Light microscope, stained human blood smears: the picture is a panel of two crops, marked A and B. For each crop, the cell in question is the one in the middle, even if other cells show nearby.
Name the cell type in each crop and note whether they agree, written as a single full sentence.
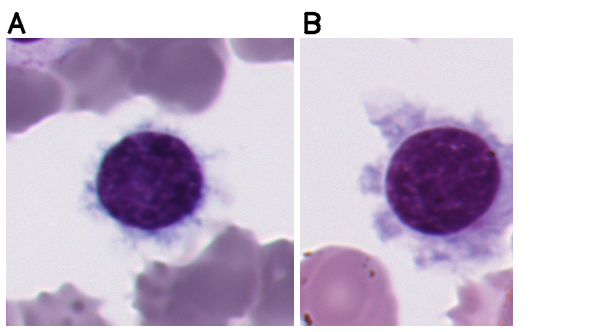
Yes, hairy cells are the central cells in the two crops.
